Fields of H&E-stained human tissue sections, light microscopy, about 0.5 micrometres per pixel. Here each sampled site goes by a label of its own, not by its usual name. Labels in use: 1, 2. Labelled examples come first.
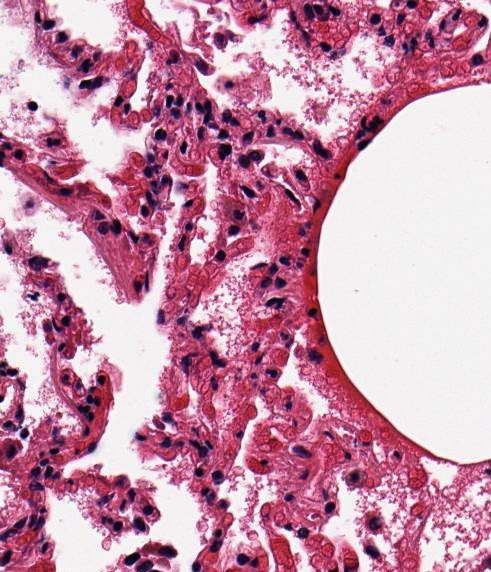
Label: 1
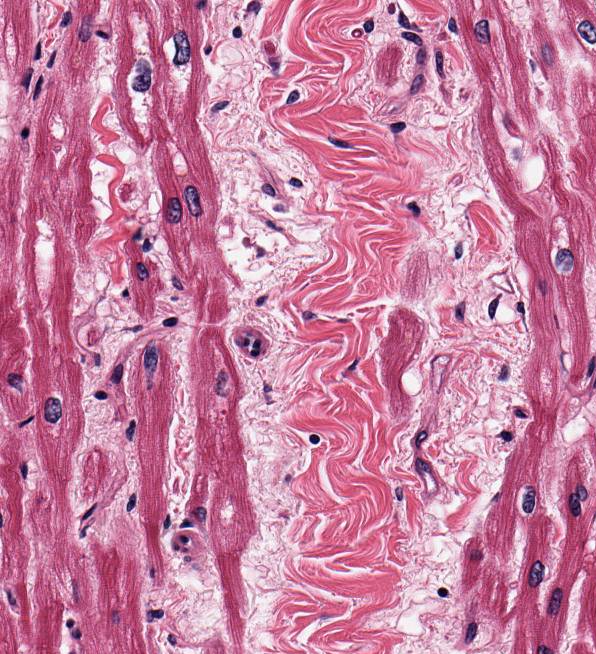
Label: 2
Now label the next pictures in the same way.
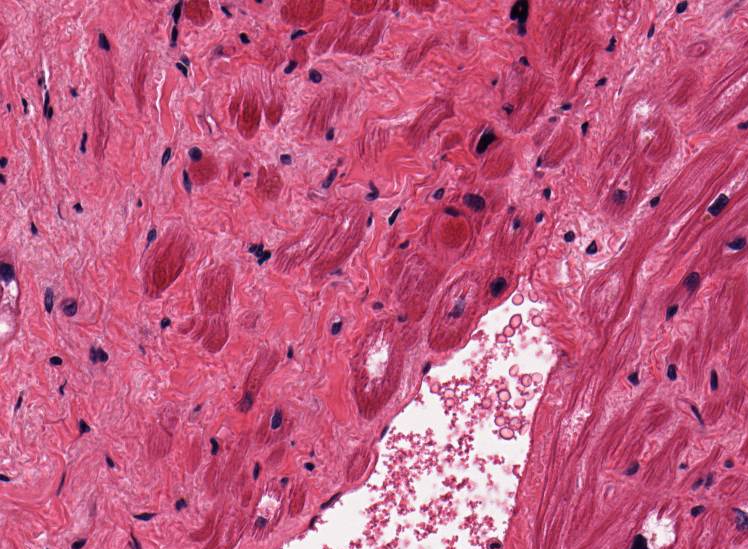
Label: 2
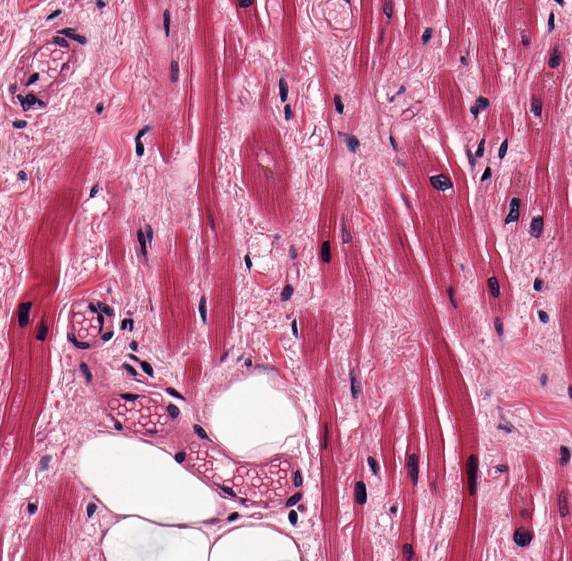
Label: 2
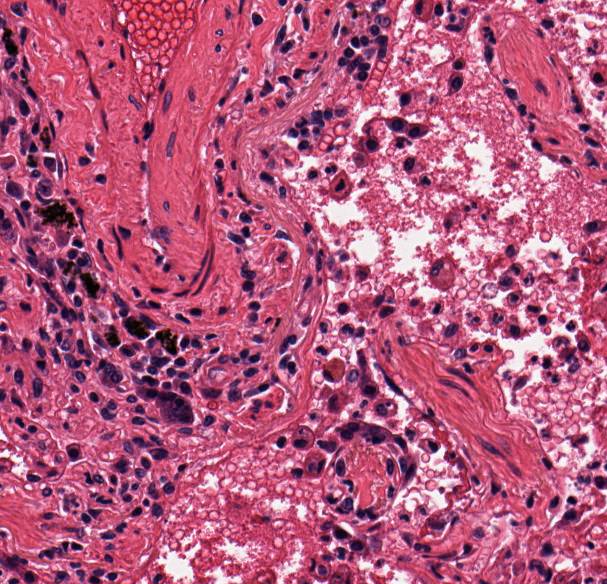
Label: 1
